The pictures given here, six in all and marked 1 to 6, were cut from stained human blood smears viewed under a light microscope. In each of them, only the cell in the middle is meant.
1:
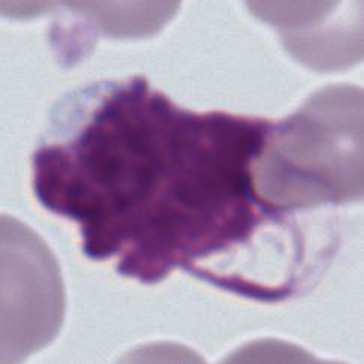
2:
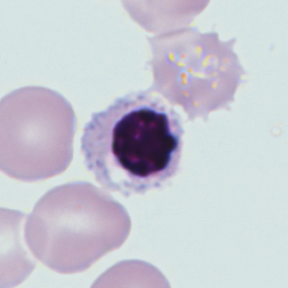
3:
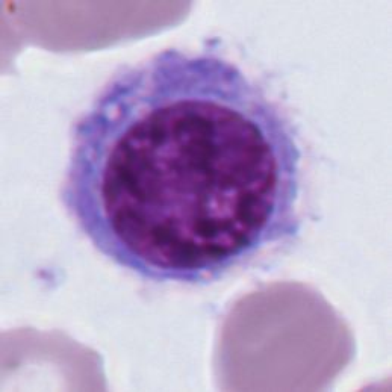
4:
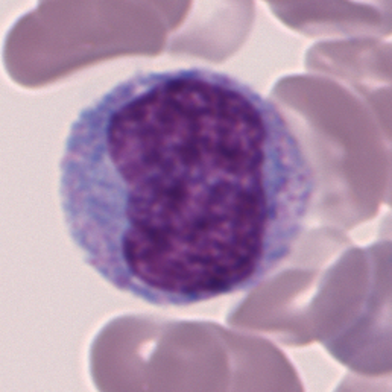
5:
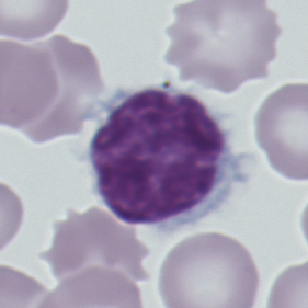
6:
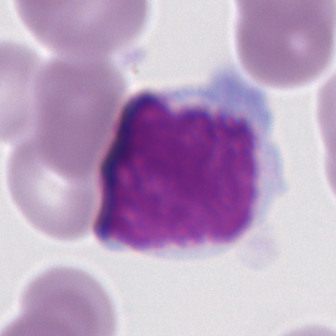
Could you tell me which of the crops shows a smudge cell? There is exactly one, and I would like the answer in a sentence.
The one crop that shows a smudge cell is crop 1.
